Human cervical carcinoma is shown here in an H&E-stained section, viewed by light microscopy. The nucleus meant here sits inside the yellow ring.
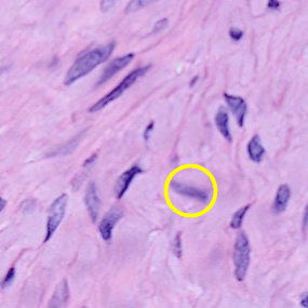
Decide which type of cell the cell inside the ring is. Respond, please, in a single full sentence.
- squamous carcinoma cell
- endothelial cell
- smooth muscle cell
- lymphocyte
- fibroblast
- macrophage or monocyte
Typologically, the cell inside the ring is a fibroblast in this section.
